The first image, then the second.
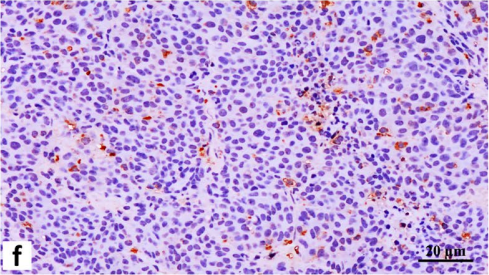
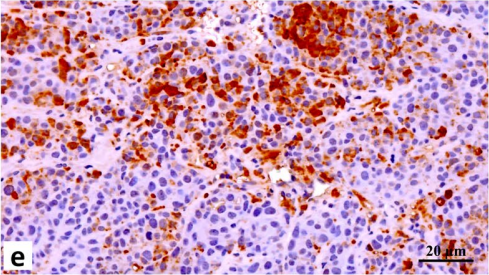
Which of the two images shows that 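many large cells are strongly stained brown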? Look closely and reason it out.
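First image: only scattered small brown dots among mostly blue cells.
Answer: the second image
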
